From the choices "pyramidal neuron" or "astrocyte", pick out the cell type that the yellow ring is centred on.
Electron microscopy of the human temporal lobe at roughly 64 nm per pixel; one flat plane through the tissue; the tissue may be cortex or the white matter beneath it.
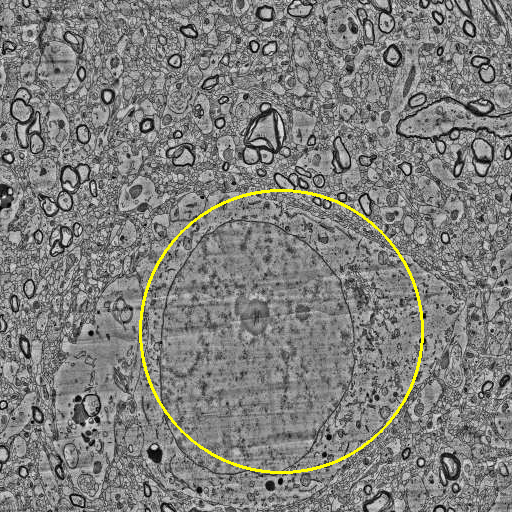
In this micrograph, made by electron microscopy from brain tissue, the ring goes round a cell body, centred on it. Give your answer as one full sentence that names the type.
The yellow ring is centred on a pyramidal neuron, whose cell body it encircles in the picture.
